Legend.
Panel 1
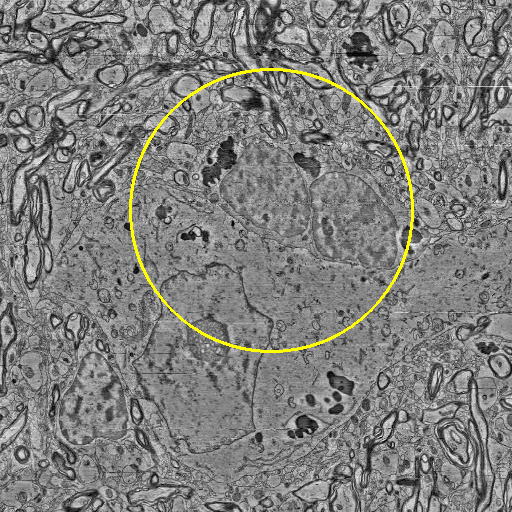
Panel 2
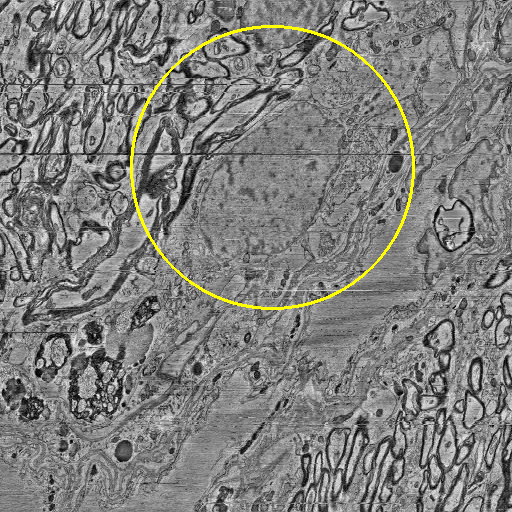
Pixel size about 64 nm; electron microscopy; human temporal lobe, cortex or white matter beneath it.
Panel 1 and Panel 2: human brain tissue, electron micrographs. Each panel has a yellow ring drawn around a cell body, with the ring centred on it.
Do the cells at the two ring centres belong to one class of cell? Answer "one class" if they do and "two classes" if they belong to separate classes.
two classes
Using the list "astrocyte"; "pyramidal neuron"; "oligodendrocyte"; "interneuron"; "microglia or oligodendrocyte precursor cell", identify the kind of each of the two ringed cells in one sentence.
The first is an oligodendrocyte and the second is an astrocyte.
